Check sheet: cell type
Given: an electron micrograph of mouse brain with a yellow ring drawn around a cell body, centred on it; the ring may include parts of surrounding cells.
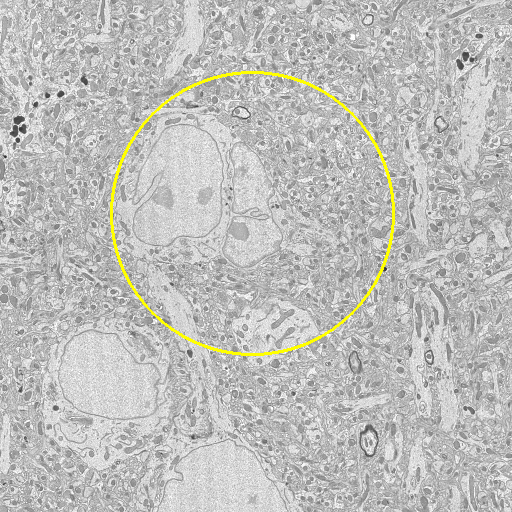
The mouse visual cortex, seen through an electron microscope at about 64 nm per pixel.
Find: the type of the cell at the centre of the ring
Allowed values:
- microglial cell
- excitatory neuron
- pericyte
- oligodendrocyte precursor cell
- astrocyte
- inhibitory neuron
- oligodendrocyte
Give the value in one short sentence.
Here the ringed cell is an oligodendrocyte precursor cell.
